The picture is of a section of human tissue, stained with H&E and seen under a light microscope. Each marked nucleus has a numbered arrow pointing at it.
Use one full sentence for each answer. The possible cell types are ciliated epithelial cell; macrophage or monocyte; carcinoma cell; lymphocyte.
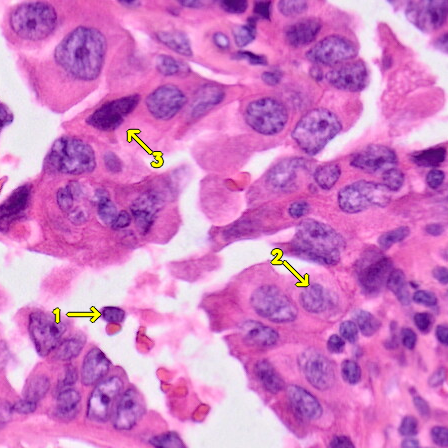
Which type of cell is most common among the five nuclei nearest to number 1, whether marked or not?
The majority of the five nuclei closest to number 1 belong to carcinoma cells.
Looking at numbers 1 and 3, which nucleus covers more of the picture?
Nucleus 3 covers more area, about 3 times as much as nucleus 1.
